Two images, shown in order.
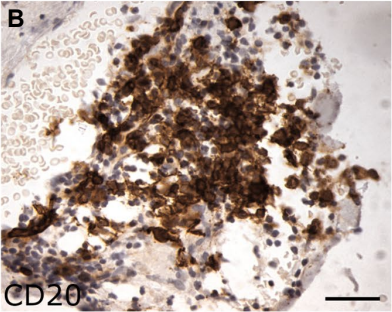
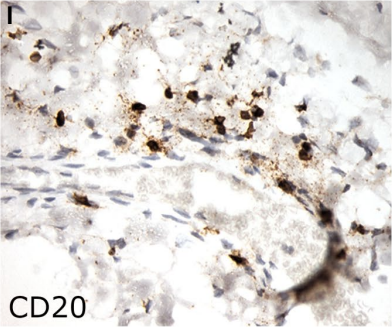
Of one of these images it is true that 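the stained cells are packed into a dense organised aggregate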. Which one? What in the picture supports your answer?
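Second image: brown-stained cells are few and scattered singly in loose tissue. First image: brown-stained cells are crowded together in one dense cluster.
The first image.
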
